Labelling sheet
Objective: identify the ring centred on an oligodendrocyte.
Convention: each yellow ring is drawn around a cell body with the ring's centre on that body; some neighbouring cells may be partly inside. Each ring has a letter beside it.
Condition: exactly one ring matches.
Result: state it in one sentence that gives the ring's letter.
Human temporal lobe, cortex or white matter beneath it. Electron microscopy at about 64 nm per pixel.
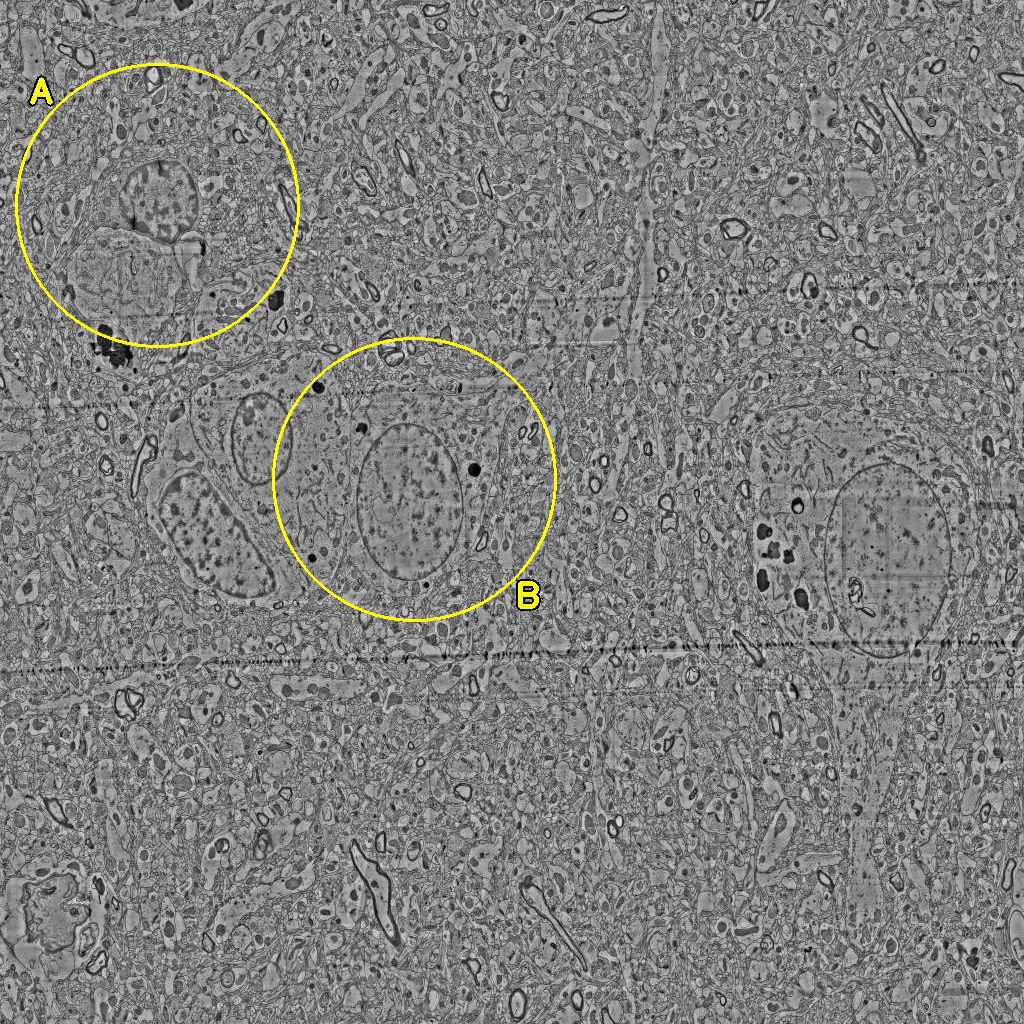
It lies at the centre of ring A.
